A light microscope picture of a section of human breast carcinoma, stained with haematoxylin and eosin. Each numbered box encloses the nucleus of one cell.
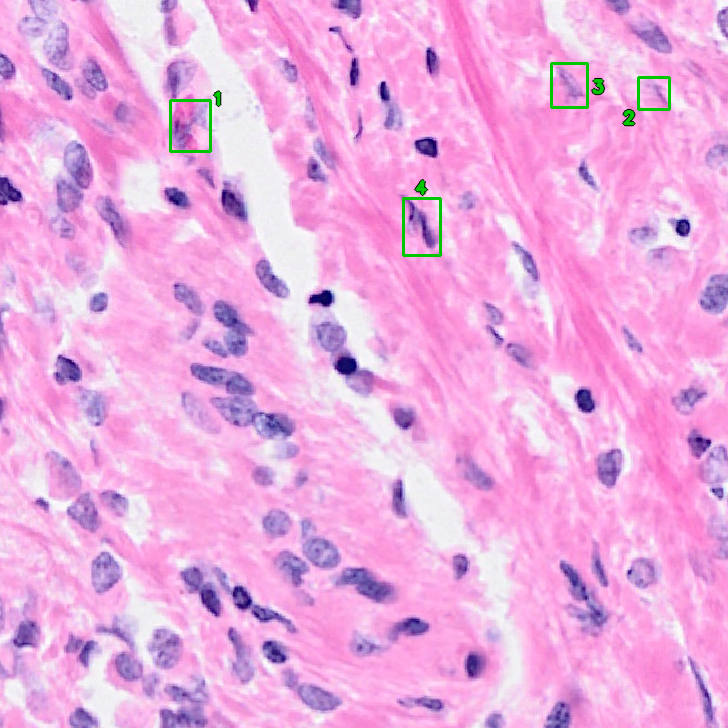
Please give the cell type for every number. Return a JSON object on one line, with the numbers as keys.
{"1": "endothelial cell", "2": "fibroblast", "3": "fibroblast", "4": "fibroblast"}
